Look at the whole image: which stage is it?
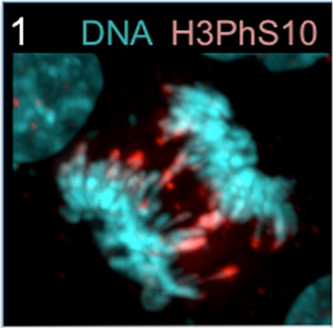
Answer: Anaphase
